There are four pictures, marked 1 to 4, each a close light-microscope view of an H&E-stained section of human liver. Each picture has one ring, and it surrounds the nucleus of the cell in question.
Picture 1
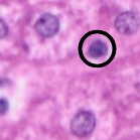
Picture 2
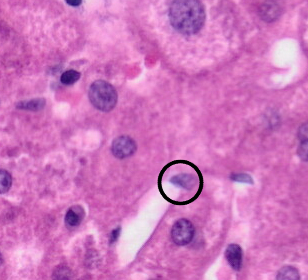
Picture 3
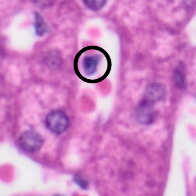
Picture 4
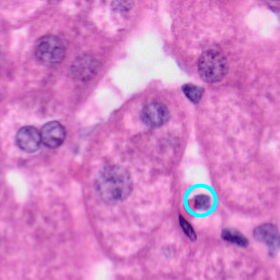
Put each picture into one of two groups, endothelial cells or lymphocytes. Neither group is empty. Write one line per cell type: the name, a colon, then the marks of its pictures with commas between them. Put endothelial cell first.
endothelial cell: 2
lymphocyte: 1, 3, 4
